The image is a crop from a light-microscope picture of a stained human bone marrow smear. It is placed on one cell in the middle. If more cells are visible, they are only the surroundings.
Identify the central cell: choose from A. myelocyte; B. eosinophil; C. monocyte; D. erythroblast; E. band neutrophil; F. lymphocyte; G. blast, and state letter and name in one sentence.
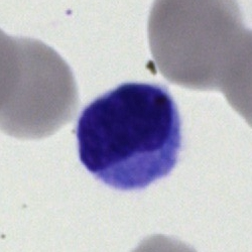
The cell shown centrally is a lymphocyte; option F is the correct option.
